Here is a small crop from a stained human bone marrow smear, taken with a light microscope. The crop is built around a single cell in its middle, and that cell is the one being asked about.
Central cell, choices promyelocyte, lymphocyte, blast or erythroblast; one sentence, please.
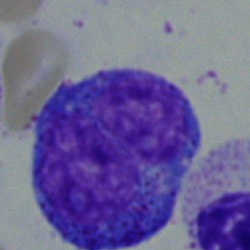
As for the cell in the middle, it is a blast.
